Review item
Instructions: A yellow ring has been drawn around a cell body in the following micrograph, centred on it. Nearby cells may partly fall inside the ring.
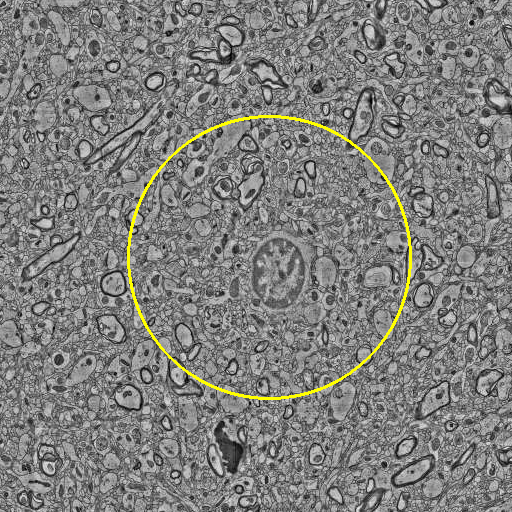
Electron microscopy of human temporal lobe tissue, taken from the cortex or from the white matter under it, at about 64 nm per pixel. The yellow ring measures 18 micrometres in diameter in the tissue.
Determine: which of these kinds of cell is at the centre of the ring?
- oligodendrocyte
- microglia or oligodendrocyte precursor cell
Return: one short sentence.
The cell body in the middle of the ring is that of an oligodendrocyte.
